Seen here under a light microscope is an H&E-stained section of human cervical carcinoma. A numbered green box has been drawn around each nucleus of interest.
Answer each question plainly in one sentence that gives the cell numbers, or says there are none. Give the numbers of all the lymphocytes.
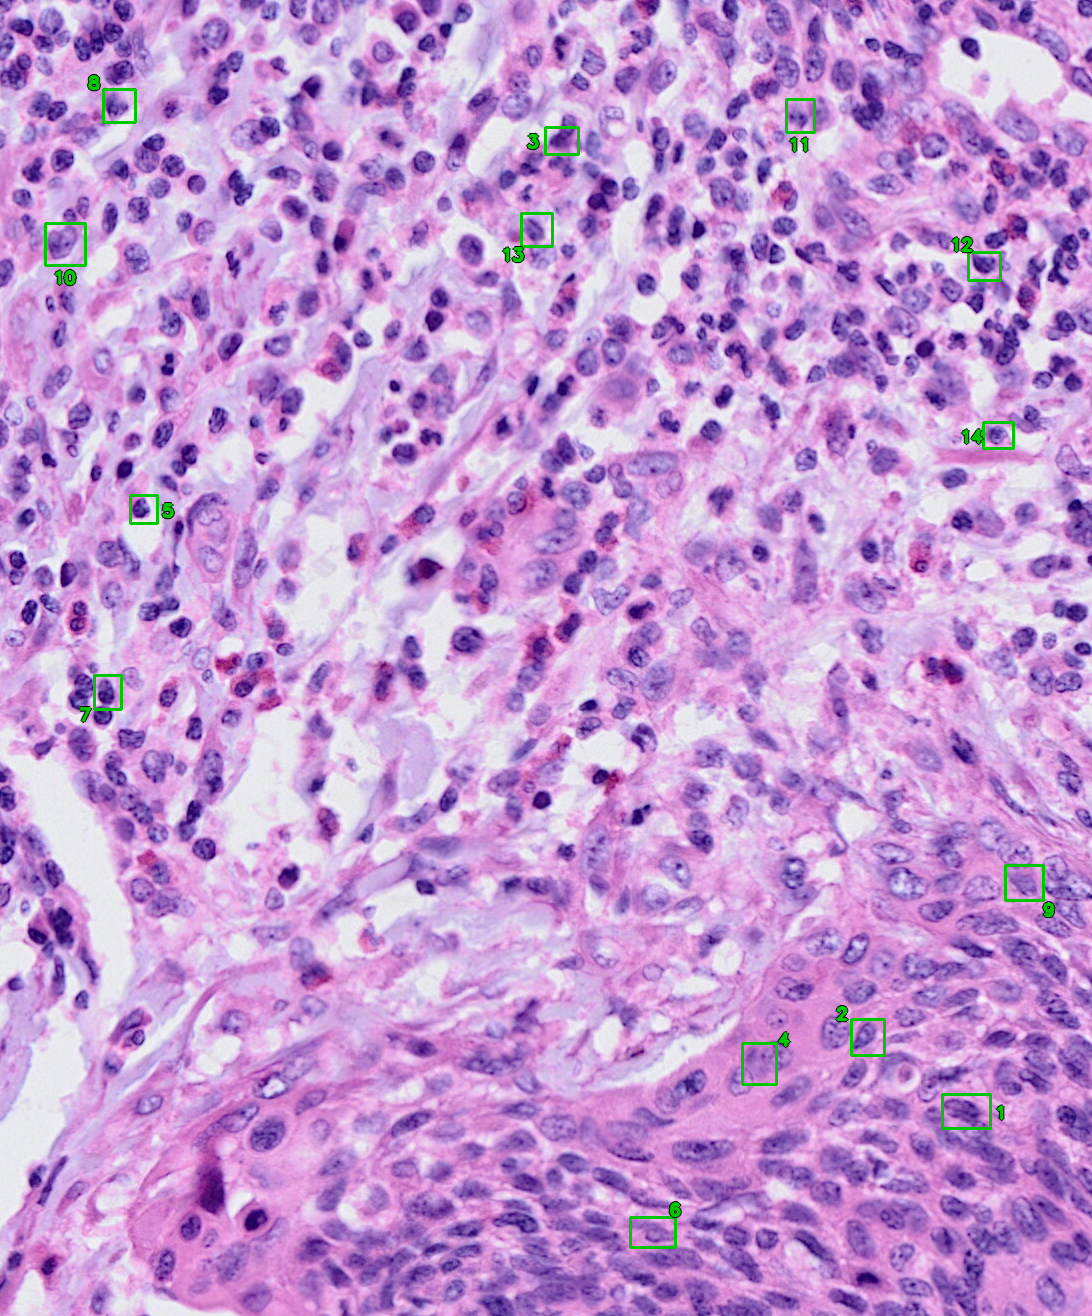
The cells the numbers 3, 5, 7, 8, 11, 12, 13 and 14 point to are lymphocytes.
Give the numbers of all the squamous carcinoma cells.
The cells whose numbers are 1, 2, 4, 6 and 9 are squamous carcinoma cells.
